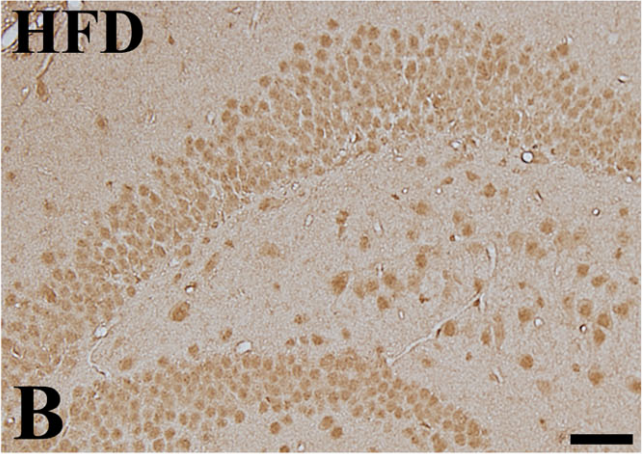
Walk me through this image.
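Two curved blades of densely packed, small round cells with brown-stained nuclei form the granule cell layer of the dentate gyrus, with a pale fibrous layer outside them. In the region enclosed between the blades, the polymorphic layer, larger brown-stained cells lie scattered loosely among pale neuropil and a few fine vessels.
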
